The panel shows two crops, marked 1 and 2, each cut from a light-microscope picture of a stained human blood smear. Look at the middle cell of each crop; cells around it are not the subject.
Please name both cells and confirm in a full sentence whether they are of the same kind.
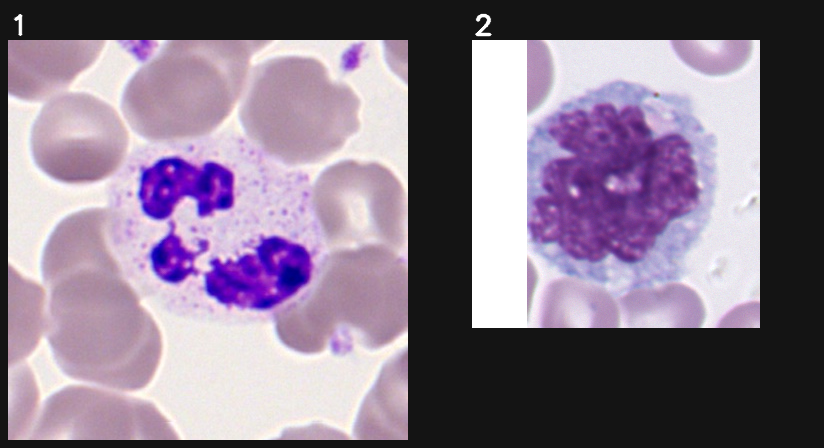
No, crop 1 presents a segmented neutrophil; crop 2 presents a monocyte.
